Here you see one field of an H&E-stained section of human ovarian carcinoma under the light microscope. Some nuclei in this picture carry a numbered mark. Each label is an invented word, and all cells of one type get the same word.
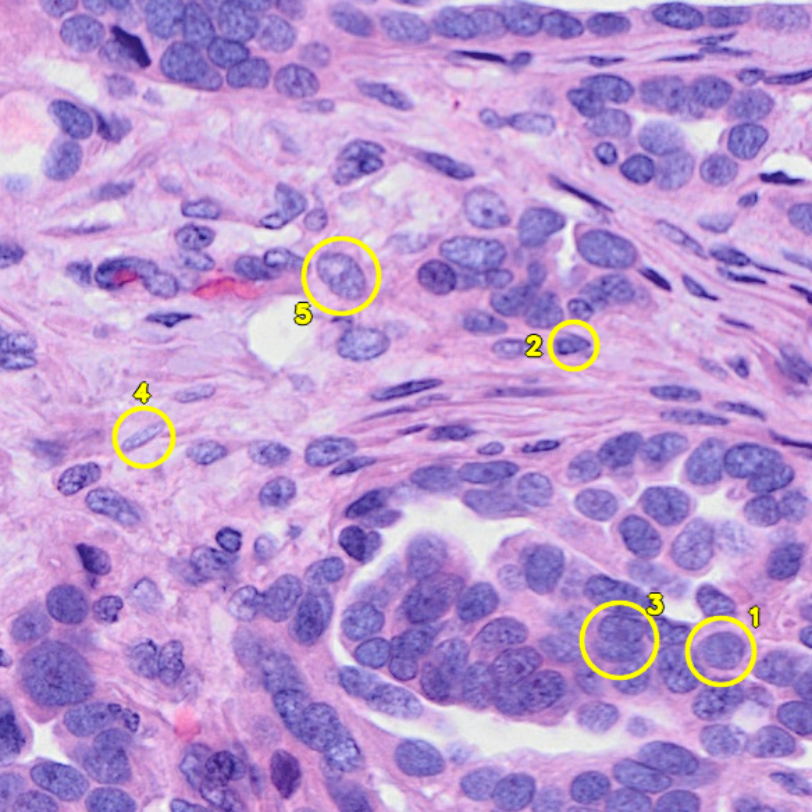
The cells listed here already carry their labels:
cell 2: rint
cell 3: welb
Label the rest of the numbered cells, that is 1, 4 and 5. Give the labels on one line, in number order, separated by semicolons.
welb; rint; rint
